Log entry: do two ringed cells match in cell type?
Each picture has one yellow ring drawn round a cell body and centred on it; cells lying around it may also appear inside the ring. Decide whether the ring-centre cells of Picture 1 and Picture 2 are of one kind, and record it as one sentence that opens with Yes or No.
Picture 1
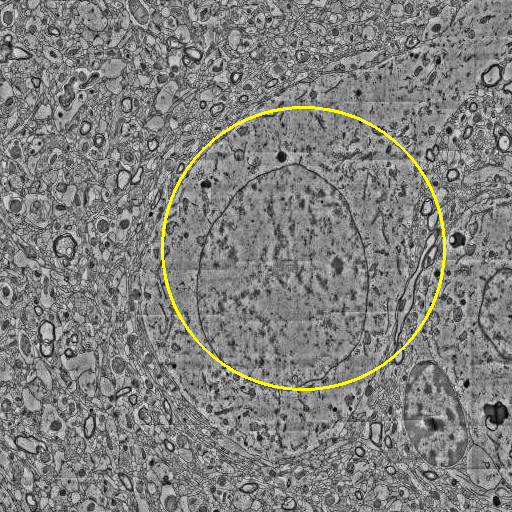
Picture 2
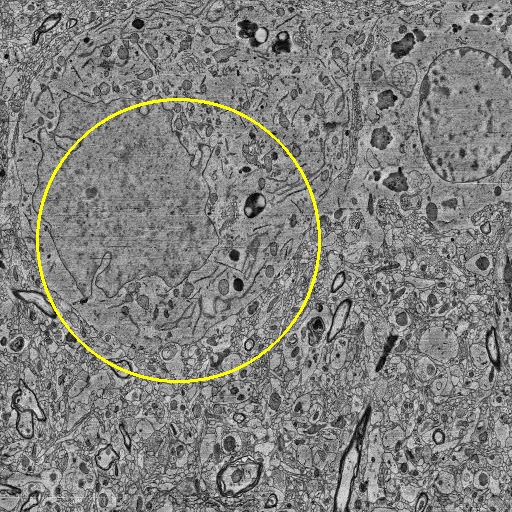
No, the cells at the ring centres of the two pictures belong to two kinds.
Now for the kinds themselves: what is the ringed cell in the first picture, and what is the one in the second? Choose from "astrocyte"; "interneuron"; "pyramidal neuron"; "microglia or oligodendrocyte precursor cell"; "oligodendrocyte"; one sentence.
Here the first cell is a pyramidal neuron and the second cell is an interneuron.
